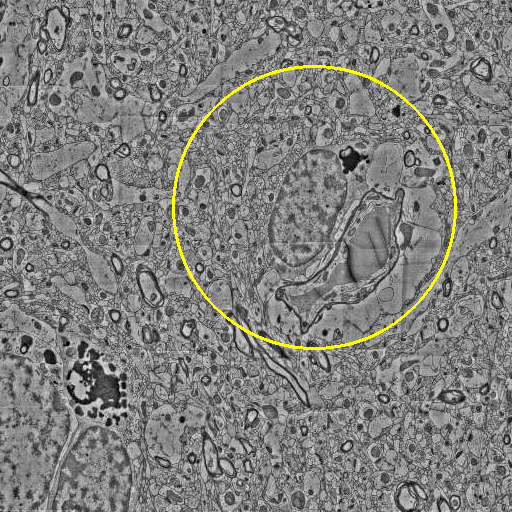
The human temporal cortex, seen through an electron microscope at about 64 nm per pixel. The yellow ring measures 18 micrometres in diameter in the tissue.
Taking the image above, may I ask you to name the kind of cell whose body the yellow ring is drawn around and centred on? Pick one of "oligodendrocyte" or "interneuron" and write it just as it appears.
oligodendrocyte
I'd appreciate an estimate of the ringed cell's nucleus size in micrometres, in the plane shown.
At approximately 8 by 4 micrometres, the nucleus is clearly longer than it is wide in this plane.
